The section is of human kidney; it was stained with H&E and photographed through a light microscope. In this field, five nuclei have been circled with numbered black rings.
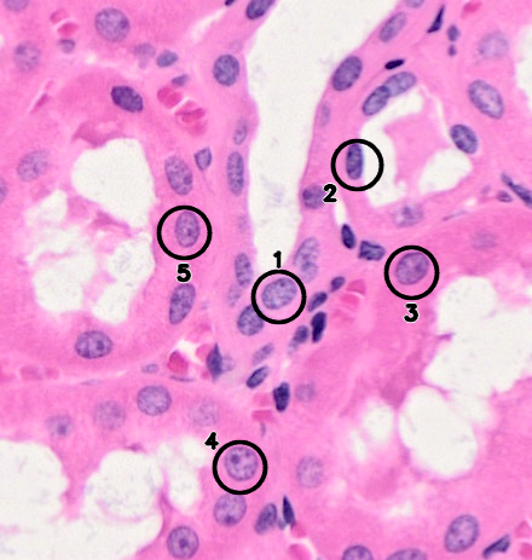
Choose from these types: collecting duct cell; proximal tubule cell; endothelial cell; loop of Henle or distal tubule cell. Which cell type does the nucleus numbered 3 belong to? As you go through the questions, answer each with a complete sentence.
Number 3 is placed on a proximal tubule cell here.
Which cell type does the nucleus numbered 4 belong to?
Cell 4, among those numbered, is a proximal tubule cell.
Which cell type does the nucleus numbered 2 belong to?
The cell given label 2 is a loop of Henle or distal tubule cell.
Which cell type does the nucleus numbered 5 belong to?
The nucleus with number 5 is that of a proximal tubule cell.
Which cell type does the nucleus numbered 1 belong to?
At number 1, the marked cell is a collecting duct cell.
